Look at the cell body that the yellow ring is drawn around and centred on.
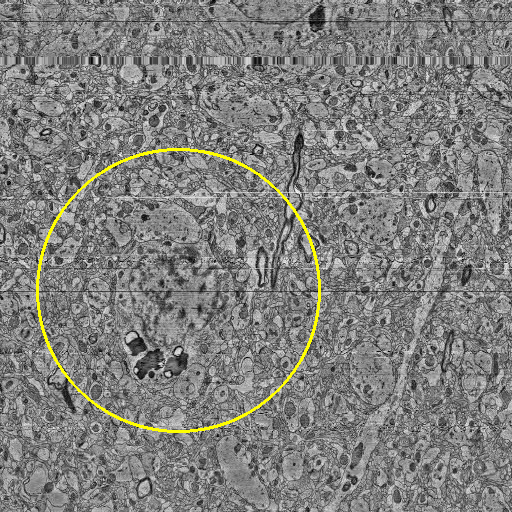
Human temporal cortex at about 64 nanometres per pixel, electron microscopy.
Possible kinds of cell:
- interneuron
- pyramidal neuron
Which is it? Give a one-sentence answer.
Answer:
The centred cell body is that of an interneuron.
